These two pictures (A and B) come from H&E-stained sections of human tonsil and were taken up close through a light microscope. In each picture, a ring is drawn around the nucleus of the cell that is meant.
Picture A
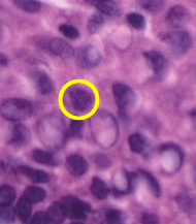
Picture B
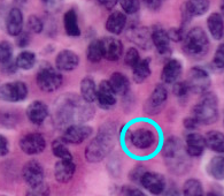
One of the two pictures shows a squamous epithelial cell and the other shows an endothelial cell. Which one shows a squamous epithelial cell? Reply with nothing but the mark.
A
